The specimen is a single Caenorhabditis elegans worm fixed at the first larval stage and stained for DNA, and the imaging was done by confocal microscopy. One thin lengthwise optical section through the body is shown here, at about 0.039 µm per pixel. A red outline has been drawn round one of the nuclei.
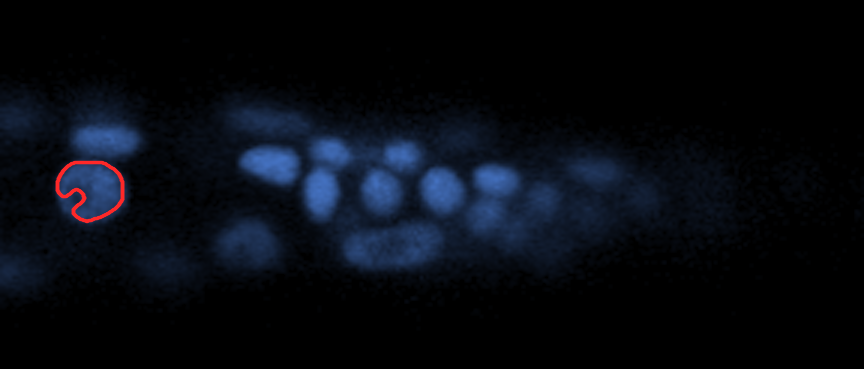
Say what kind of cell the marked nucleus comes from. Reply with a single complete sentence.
It belongs to a seam cell.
